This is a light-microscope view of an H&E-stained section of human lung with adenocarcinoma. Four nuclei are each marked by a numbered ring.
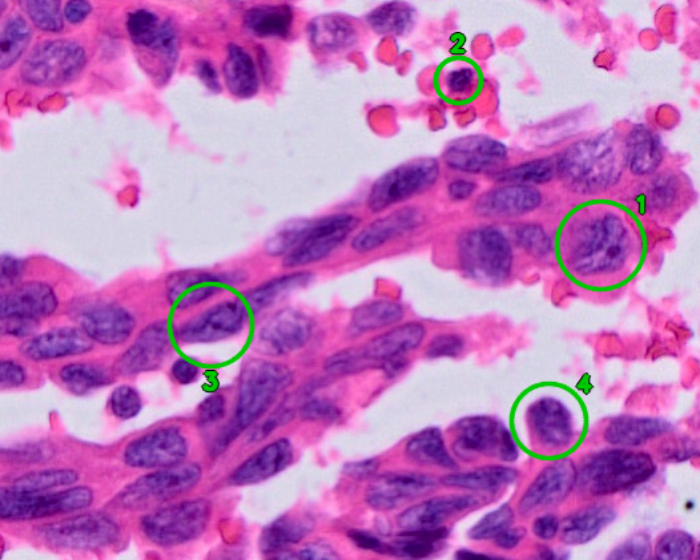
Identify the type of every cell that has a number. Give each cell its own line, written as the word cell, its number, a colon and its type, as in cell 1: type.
cell 1: carcinoma cell
cell 2: lymphocyte
cell 3: carcinoma cell
cell 4: carcinoma cell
